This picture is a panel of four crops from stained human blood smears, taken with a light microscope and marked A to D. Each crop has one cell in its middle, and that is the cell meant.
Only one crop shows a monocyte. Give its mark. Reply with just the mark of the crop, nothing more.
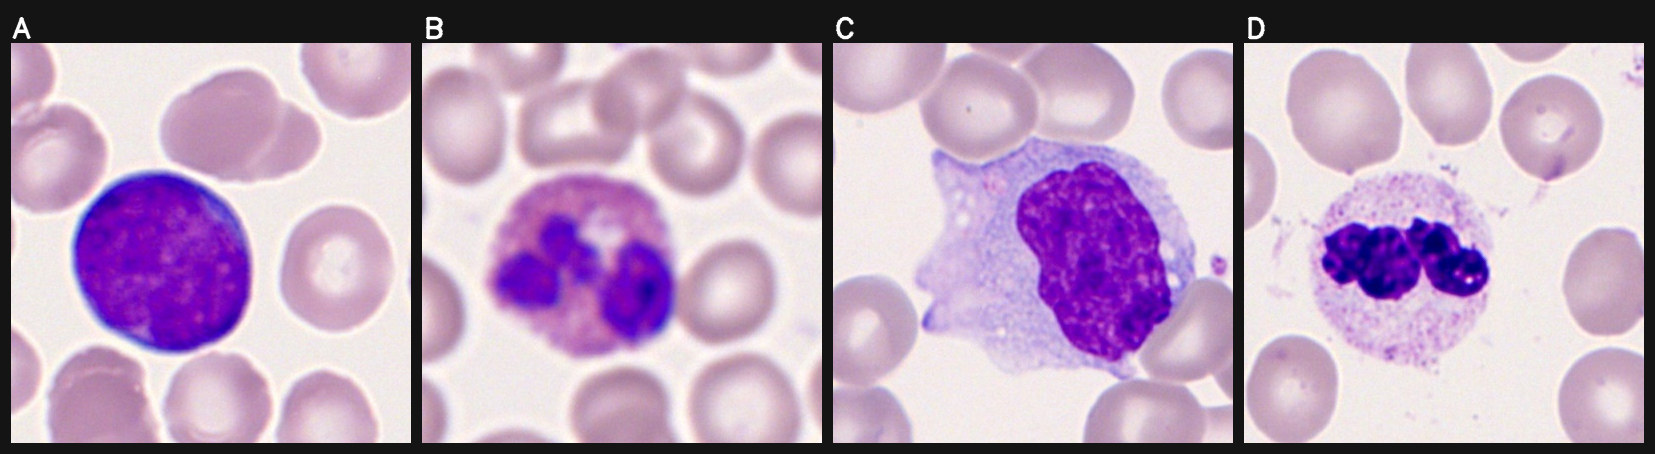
C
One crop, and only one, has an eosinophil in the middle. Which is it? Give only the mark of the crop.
B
